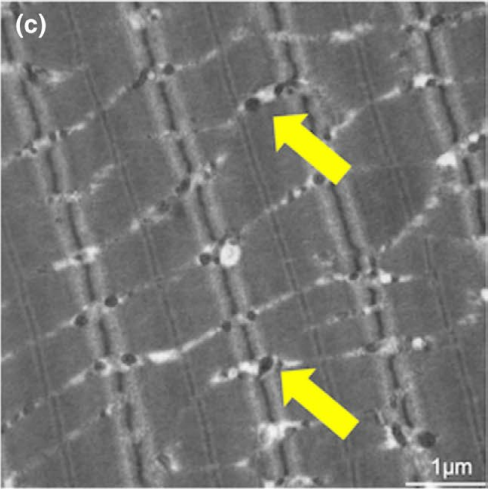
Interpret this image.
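This is skeletal muscle seen at high magnification, with myofibrils cut into regular repeating units by dark, straight cross bands. The fibrils run in parallel and their bands line up across neighbouring fibrils, giving an orderly grid. Small dark round bodies, the mitochondria, sit in the narrow spaces between fibrils close to the dark cross bands, often in pairs. Pale clefts between the fibrils mark the spaces of membranous compartments beside them. The overall arrangement looks orderly, without obvious disruption of the banding.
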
